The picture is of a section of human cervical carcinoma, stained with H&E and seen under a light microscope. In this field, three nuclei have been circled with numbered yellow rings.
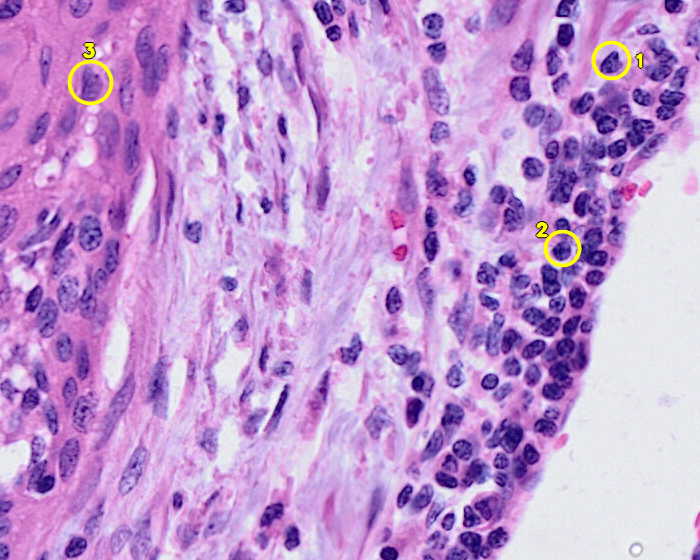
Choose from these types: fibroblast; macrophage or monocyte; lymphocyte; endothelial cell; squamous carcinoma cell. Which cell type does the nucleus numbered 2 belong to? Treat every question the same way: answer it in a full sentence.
The cell tagged with 2 in this tissue section is a lymphocyte.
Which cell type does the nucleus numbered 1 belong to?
Denoted by the label 1 in the section is a lymphocyte.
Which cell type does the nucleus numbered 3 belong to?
The cell marked with the number 3 is a squamous carcinoma cell.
